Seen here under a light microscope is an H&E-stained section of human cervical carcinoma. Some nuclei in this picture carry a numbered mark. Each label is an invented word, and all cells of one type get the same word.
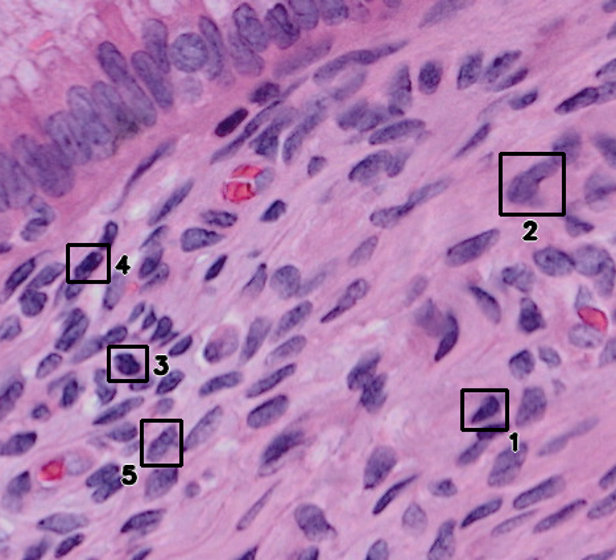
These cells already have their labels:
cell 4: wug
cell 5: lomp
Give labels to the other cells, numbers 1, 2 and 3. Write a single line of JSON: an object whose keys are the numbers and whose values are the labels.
{"1": "lomp", "2": "lomp", "3": "wug"}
